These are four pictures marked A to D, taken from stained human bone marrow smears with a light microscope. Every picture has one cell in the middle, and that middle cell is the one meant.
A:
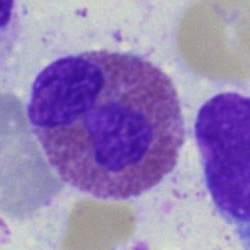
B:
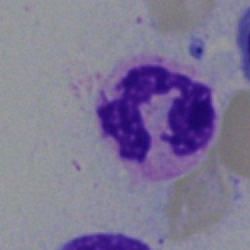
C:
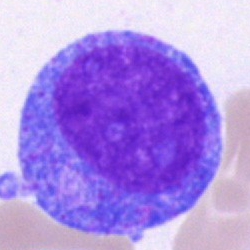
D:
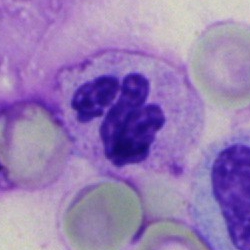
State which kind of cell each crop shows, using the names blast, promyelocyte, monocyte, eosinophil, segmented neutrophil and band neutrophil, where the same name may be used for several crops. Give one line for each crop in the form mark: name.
A: eosinophil
B: segmented neutrophil
C: promyelocyte
D: segmented neutrophil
